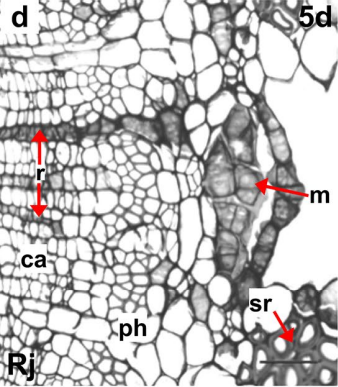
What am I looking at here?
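Transverse section at the cambium and phloem with a ray and a small group of meristem cells. A radial ray of narrow cells crosses regularly arranged cambial cells at the left. Outside the phloem lies a compact cluster of small, densely stained cells with thin new walls, next to which a narrow dark layer of cells runs. At the lower right are thick-walled sclerenchyma cells with small lumens.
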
